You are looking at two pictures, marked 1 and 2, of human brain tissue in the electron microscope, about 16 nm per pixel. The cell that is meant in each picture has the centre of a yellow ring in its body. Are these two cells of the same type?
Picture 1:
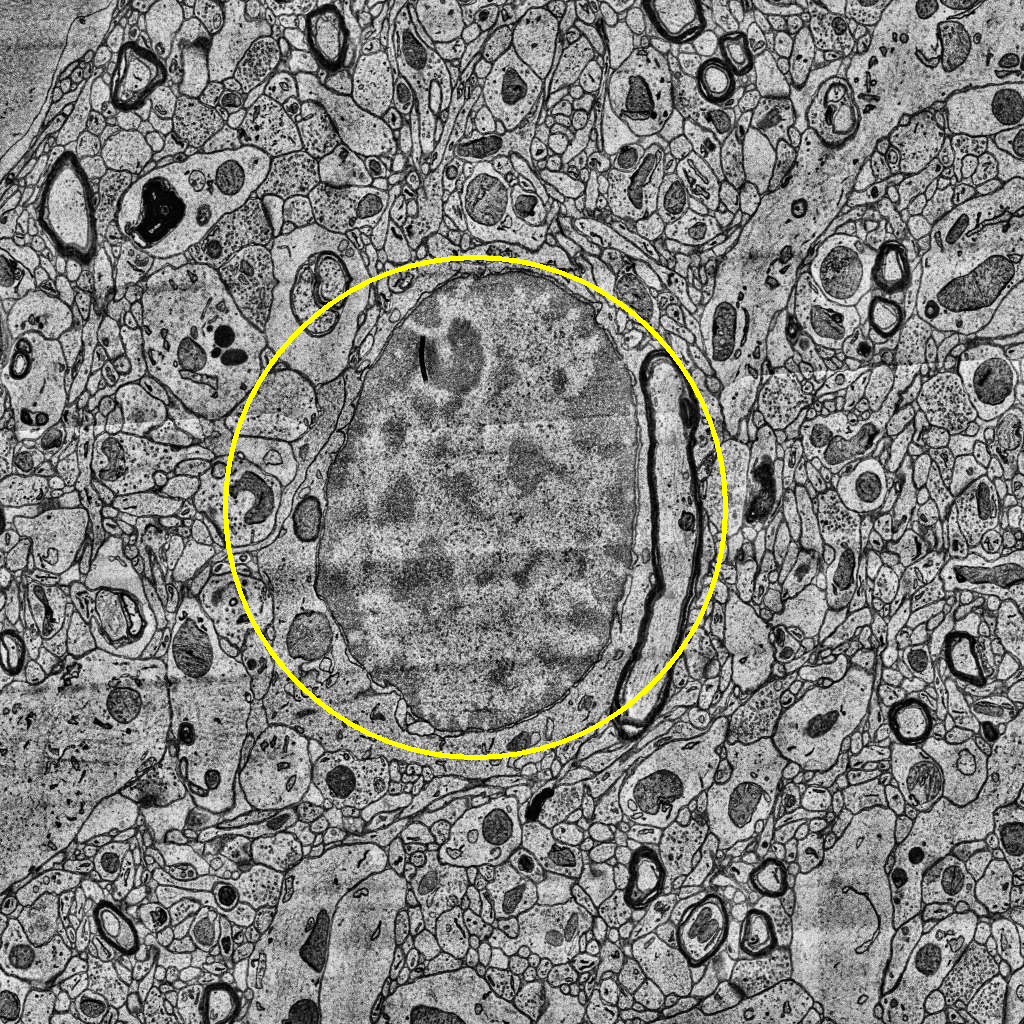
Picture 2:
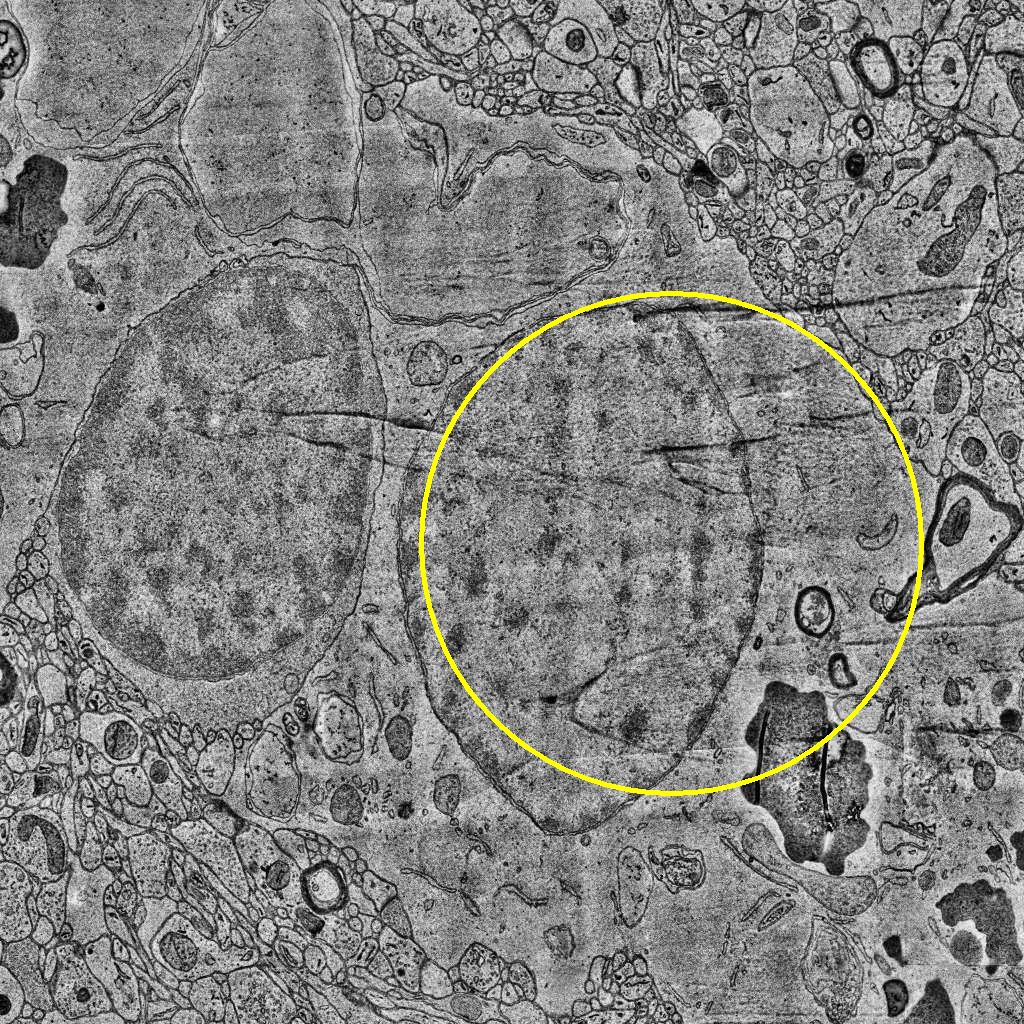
No, they differ: the cell is an oligodendrocyte in picture 1 and an astrocyte in picture 2.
